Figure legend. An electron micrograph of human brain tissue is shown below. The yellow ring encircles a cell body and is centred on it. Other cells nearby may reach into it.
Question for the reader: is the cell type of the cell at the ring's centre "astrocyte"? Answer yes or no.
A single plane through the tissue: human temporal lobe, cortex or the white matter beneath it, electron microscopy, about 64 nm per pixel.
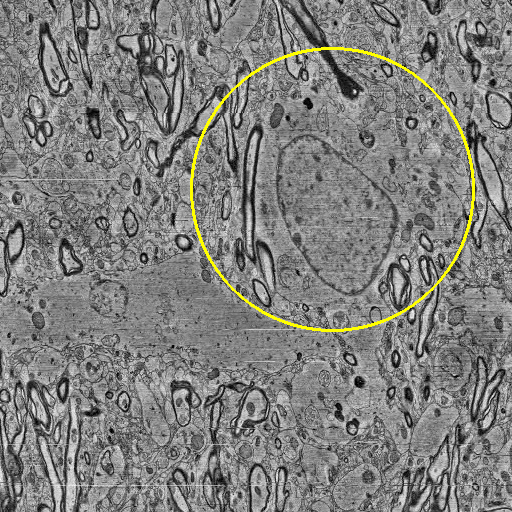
yes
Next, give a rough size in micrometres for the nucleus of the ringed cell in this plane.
Roughly 11 by 7 micrometers, clearly longer than it is wide in this plane.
